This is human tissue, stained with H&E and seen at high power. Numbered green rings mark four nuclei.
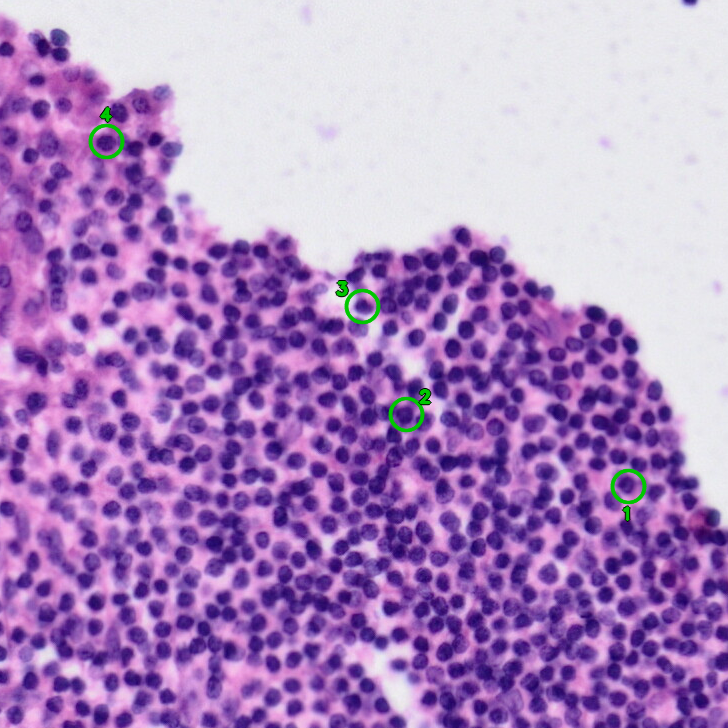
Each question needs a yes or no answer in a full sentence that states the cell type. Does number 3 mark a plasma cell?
No, the cell bearing the number 3 is a small lymphocyte, not a plasma cell.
